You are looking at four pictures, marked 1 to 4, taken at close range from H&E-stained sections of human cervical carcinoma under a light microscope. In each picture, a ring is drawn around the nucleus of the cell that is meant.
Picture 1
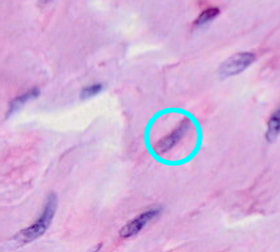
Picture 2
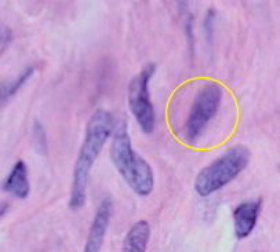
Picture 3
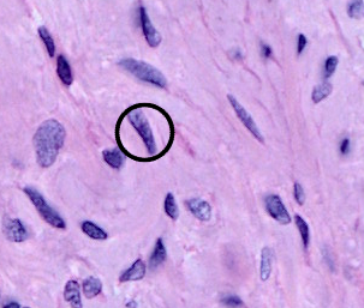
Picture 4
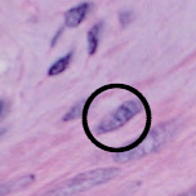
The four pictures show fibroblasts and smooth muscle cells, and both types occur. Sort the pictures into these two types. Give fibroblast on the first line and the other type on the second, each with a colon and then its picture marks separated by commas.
fibroblast: 2, 3
smooth muscle cell: 1, 4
